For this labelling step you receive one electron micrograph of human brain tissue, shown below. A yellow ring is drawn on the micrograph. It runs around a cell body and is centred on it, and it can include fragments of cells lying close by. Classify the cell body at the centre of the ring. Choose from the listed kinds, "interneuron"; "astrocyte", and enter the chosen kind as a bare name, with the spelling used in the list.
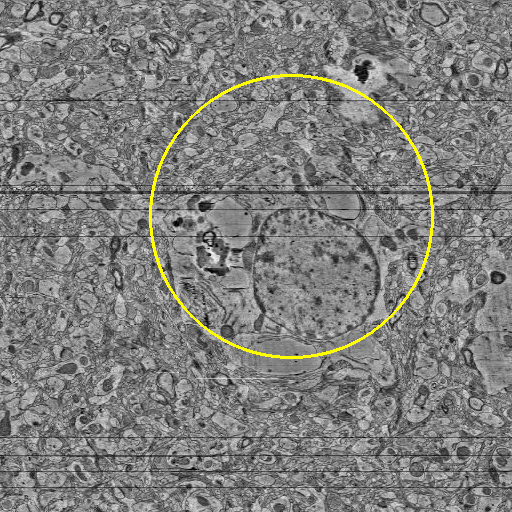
astrocyte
